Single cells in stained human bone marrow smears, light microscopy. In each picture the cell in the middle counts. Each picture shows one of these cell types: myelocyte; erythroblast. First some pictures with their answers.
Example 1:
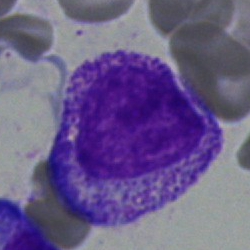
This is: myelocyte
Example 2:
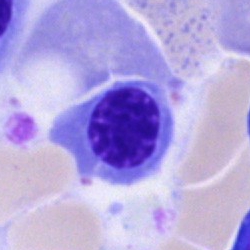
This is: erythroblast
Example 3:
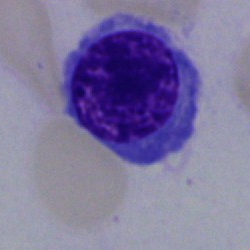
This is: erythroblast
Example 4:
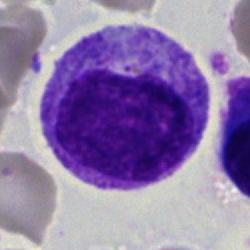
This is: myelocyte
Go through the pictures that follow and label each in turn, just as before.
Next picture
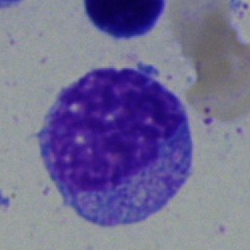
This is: myelocyte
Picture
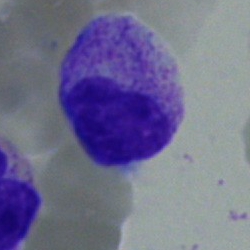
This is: myelocyte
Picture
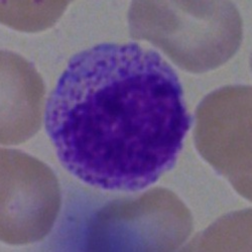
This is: myelocyte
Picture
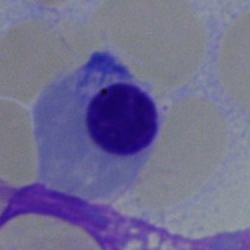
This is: erythroblast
